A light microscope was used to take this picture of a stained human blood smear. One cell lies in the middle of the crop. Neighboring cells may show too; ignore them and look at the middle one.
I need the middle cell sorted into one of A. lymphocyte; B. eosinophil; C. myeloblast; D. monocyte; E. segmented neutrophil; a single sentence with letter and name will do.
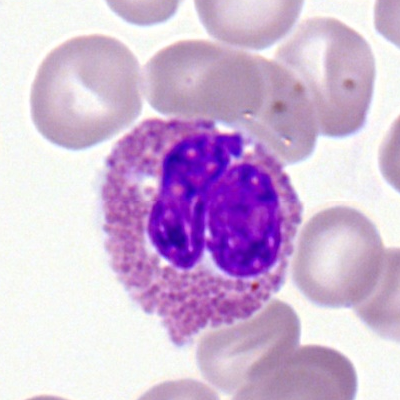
With the cell in the middle being an eosinophil, option B is the correct choice.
